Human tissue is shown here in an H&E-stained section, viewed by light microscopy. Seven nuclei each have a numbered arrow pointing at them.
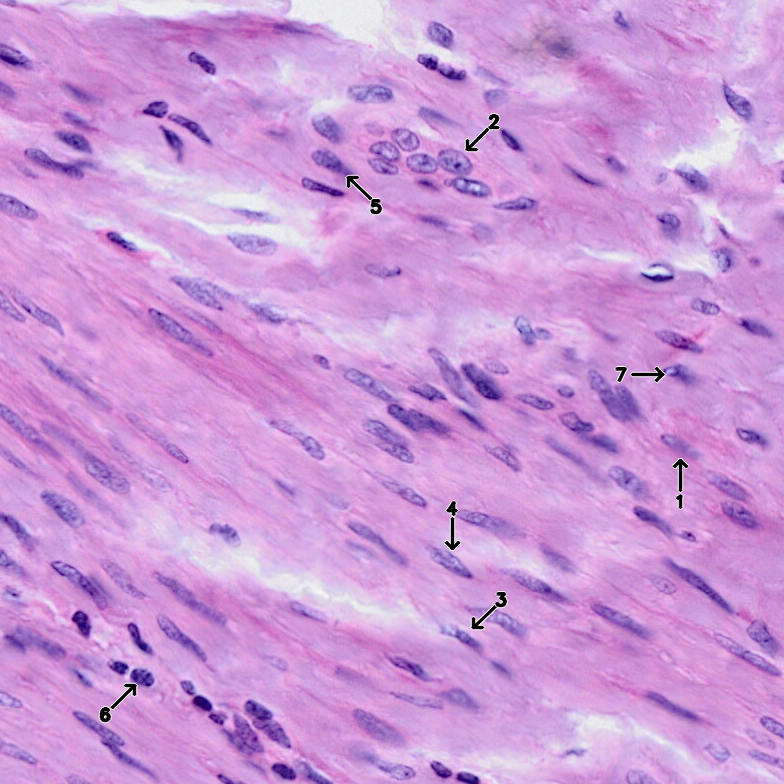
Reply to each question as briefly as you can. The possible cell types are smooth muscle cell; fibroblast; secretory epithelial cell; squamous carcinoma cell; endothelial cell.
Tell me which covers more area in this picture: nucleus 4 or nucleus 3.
4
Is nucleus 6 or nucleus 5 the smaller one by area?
6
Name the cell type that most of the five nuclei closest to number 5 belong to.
endothelial cell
